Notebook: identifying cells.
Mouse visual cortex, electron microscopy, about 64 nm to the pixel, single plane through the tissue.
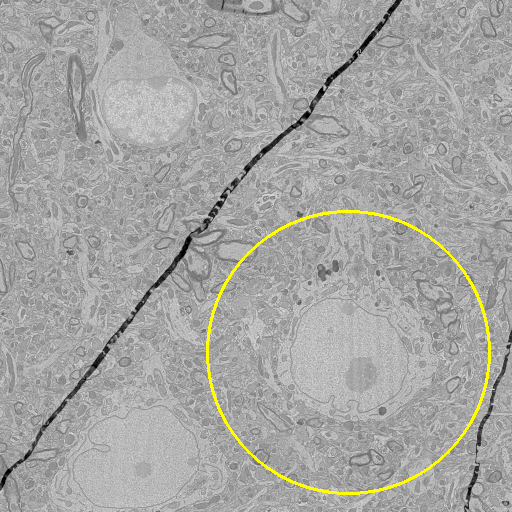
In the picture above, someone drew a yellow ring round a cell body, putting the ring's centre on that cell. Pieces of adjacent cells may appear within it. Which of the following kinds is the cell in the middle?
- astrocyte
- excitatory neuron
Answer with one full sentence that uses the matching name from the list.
In this picture, the yellow ring is centred on the body of an excitatory neuron.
